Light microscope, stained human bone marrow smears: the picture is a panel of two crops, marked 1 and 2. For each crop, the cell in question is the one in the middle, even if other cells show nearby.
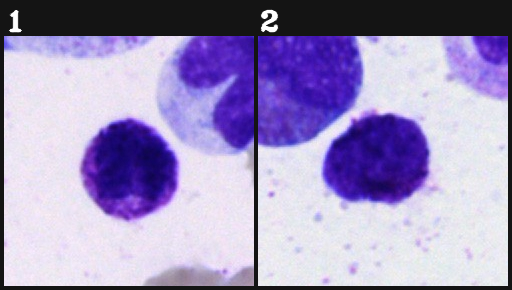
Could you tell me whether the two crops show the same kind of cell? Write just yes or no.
yes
